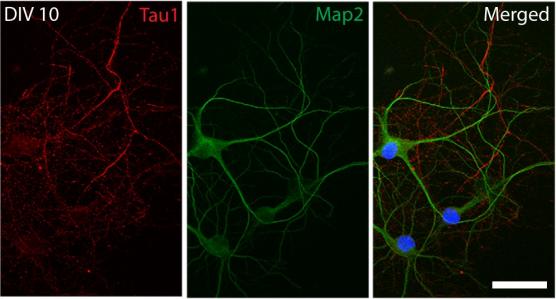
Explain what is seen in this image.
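The green channel shows several neuronal cell bodies, each with multiple thick processes that taper and branch outward. The red channel shows a widespread network of thin fibres that look finely dotted along their length. In the overlay the thin red fibres run among the thicker green processes, with blue nuclei in the cell bodies.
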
